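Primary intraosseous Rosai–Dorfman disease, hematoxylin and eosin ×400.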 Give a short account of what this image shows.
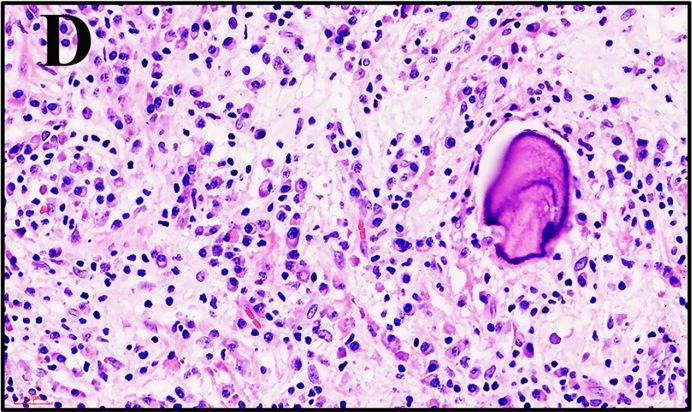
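Larger cells with oval vesicular nuclei and pale pink cytoplasm lie scattered in a pale pink fibrous stroma. Many small cells with dark round nuclei, lymphocytes and plasma cells, are intermixed among them; some of the small cells have eccentric nuclei. On the right lies a small fragment of deeply purple, layered calcified or bony material. The stroma is loose and fibrillary, with few small vessels.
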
